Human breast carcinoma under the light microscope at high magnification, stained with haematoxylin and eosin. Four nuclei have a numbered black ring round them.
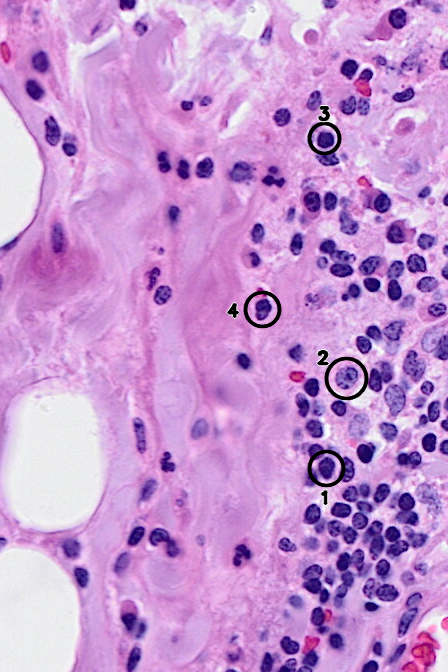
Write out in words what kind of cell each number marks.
Cells 1, 3 and 4 are lymphocytes. Cell 2 is a mast cell.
